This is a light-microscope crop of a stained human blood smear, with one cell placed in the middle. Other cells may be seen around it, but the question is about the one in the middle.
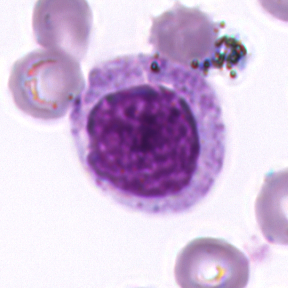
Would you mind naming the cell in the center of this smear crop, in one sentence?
The cell marked by its central position in the crop is a myelocyte.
